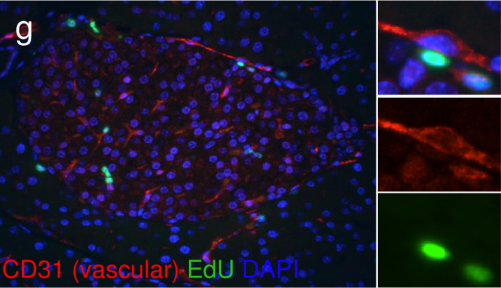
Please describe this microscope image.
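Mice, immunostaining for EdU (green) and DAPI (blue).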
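A large pancreatic islet occupies the field, made of densely packed cells with round blue nuclei. Thin red threads run in a branching network between the islet cells and along its border. Several nuclei scattered in the islet and at its edge are bright green. The enlarged inset shows a green, oval nucleus lying against a thin red elongated profile, with a blue nucleus nearby.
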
